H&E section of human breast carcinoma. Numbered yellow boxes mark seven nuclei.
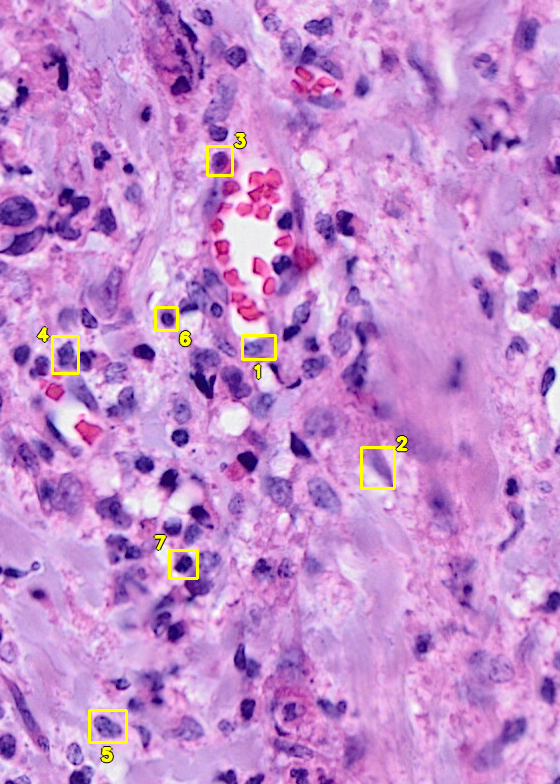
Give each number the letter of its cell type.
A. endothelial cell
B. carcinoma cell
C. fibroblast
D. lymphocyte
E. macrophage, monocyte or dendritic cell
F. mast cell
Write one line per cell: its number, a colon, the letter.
1: A
2: C
3: A
4: D
5: F
6: F
7: D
